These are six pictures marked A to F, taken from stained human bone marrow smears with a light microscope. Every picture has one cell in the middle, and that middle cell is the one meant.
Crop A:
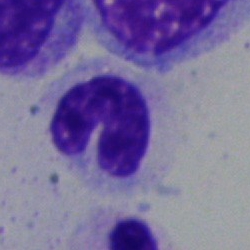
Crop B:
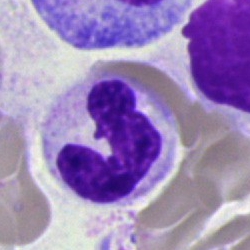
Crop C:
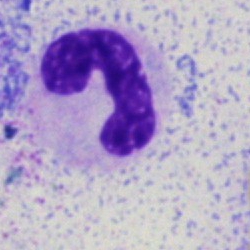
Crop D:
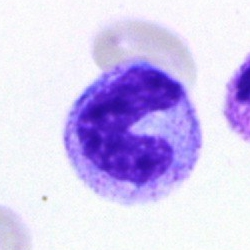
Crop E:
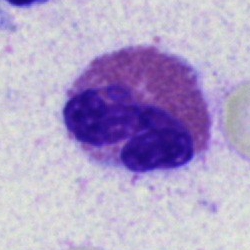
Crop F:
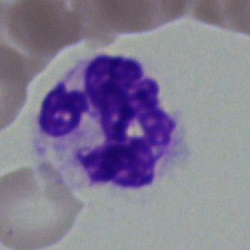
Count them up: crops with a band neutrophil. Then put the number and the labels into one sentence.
In total, four crops show band neutrophils, namely A, B, C and D.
